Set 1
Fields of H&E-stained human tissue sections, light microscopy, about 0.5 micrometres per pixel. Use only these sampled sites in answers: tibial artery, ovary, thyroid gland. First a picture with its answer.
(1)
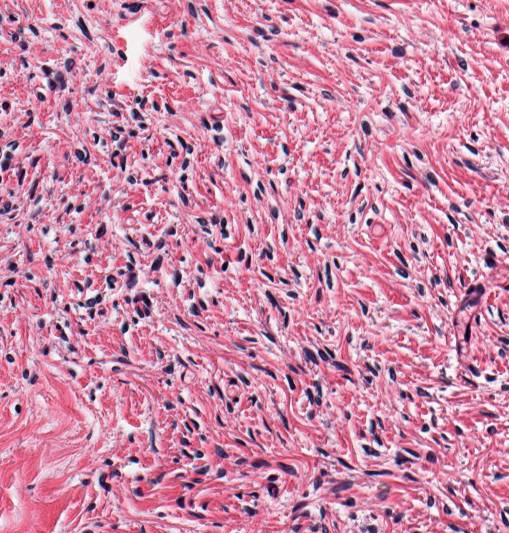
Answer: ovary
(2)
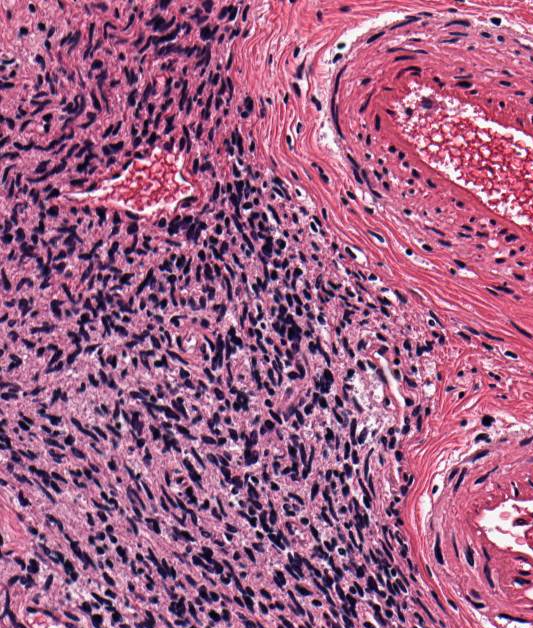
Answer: ovary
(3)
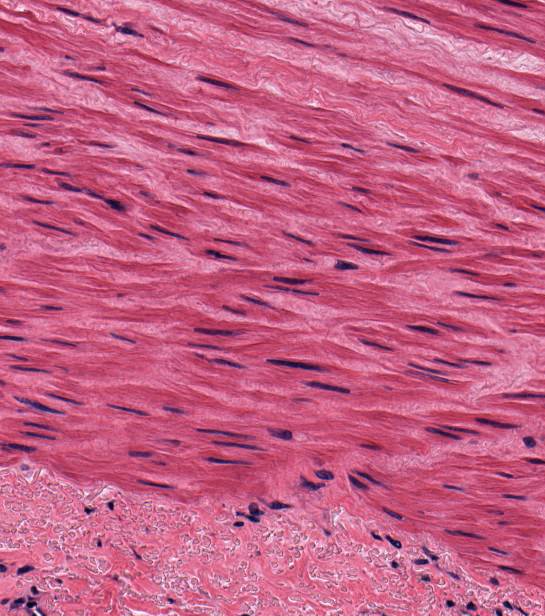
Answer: tibial artery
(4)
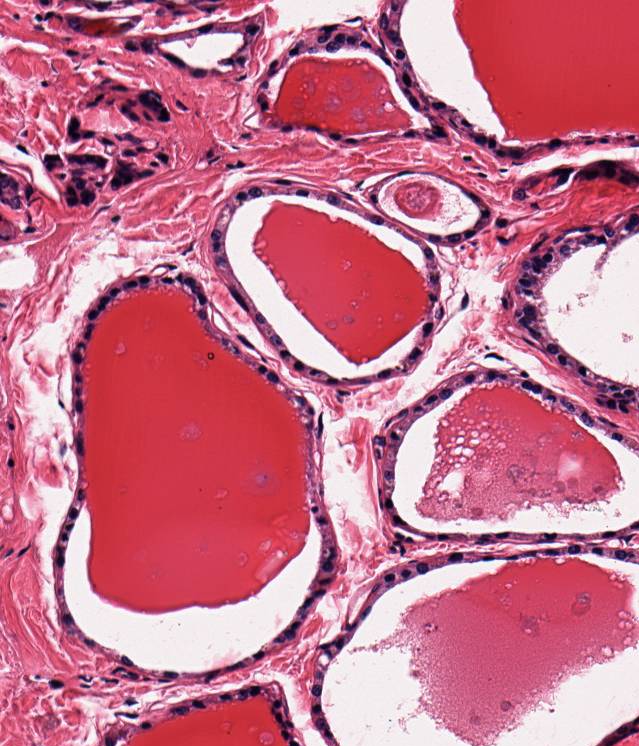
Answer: thyroid gland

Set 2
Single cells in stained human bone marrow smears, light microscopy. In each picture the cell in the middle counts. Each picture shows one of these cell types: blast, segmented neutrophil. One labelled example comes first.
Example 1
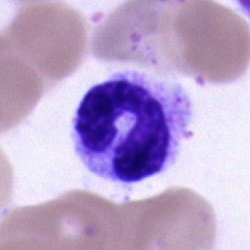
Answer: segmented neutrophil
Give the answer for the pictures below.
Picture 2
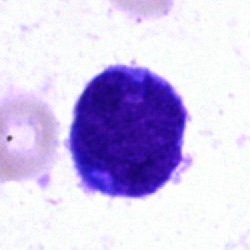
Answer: blast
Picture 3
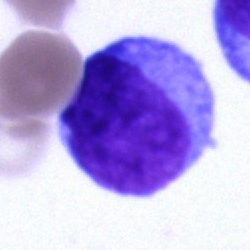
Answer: blast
